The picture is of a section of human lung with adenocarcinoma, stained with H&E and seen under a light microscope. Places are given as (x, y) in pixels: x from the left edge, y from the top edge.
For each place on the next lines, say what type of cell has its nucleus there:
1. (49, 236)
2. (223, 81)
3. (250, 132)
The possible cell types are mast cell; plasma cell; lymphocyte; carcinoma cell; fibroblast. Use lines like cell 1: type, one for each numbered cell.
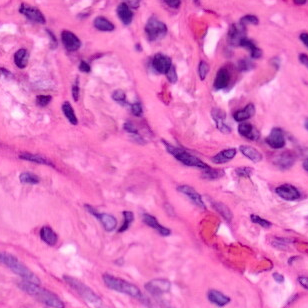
cell 1: mast cell
cell 2: plasma cell
cell 3: plasma cell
